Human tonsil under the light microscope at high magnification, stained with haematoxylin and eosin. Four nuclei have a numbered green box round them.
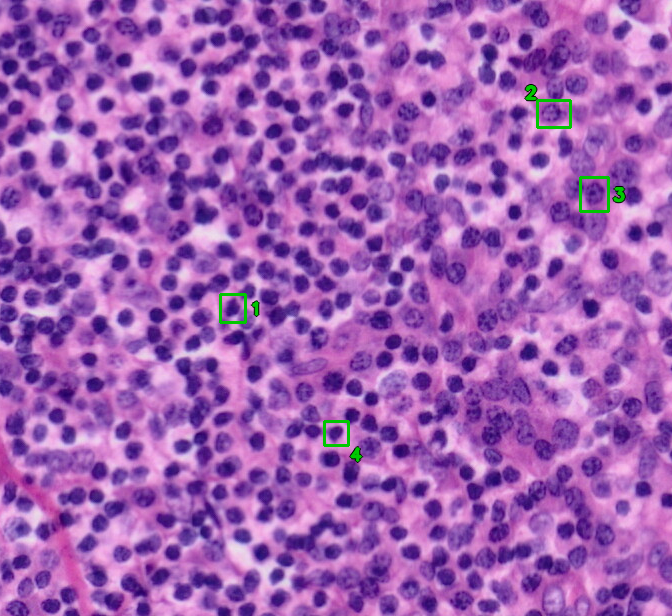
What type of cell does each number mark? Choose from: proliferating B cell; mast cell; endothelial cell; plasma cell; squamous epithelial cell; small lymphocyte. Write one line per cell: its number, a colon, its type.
1: small lymphocyte
2: plasma cell
3: plasma cell
4: small lymphocyte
